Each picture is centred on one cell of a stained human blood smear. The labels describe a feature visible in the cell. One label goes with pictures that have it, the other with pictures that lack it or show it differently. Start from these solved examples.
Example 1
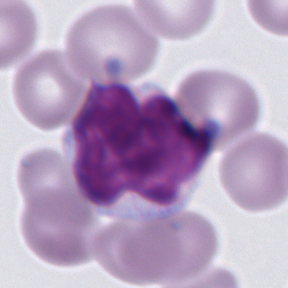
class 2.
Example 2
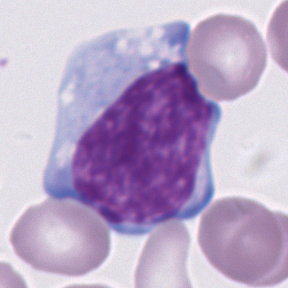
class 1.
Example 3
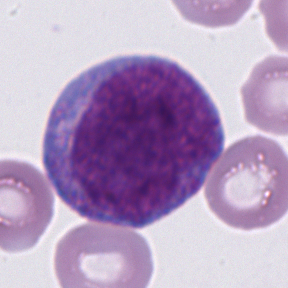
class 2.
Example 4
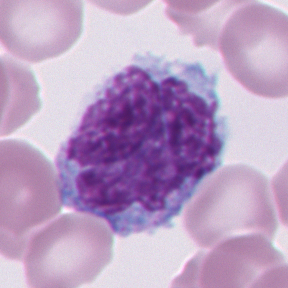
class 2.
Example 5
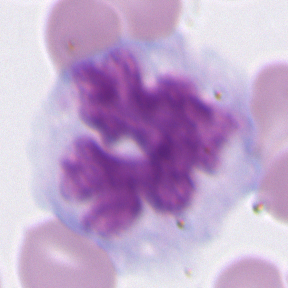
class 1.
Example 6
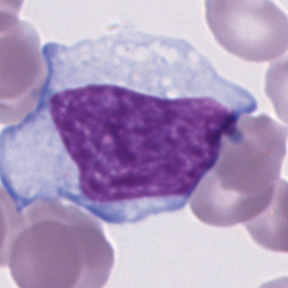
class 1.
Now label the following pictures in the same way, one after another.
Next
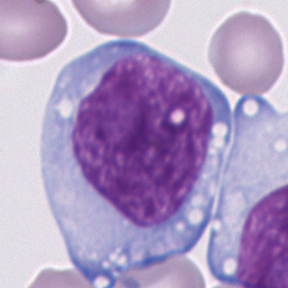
class 1.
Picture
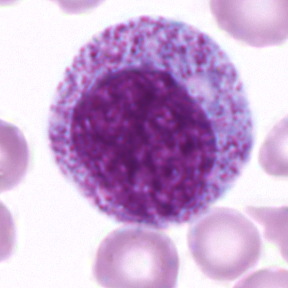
class 1.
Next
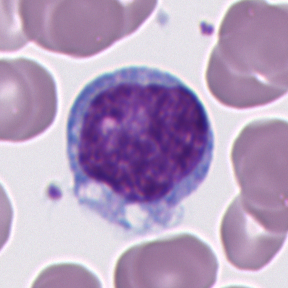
class 2.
